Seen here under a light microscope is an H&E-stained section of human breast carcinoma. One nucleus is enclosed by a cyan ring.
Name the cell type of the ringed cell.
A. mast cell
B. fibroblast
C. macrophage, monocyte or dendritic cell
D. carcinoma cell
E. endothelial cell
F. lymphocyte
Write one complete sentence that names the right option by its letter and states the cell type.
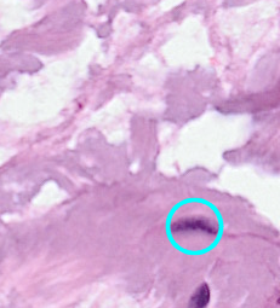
As the ringed cell is a fibroblast, the correct choice is option B.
